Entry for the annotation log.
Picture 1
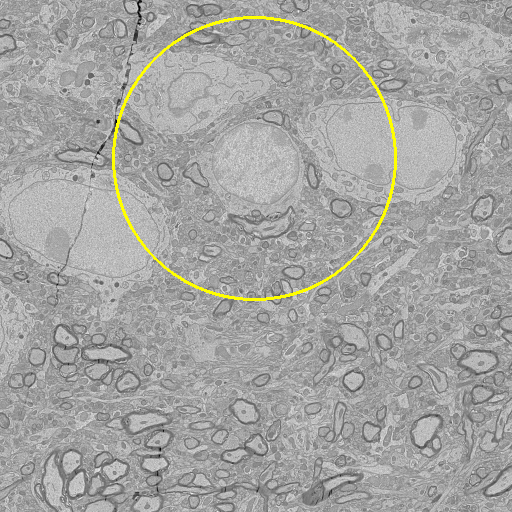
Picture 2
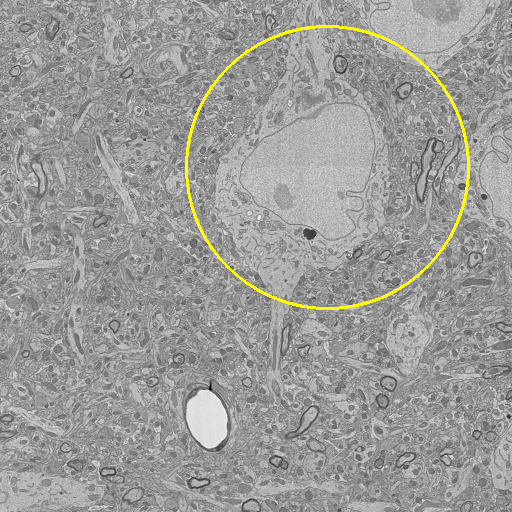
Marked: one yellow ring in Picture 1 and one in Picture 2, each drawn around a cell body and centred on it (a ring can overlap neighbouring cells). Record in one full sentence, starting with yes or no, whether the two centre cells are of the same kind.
No, the two cells are of two kinds.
